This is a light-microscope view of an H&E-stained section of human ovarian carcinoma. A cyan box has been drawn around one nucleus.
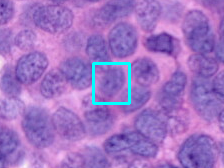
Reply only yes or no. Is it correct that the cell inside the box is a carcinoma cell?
yes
